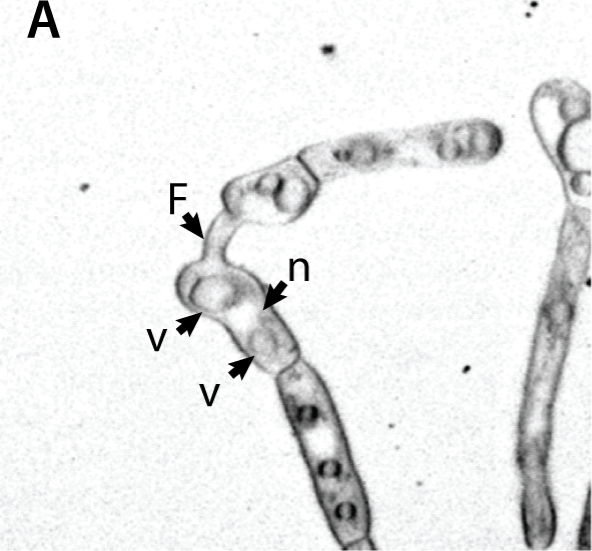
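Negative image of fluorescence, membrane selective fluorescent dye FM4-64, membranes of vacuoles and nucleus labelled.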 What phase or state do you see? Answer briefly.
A: Germlings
